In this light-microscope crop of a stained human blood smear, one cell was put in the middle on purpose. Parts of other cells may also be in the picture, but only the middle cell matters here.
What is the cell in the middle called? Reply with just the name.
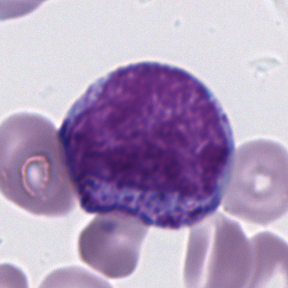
promyelocyte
